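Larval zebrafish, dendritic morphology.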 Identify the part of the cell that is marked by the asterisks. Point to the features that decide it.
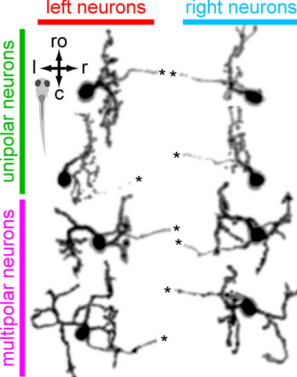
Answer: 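Axons. Each asterisk sits at the end of a single thin, unbranched process leaving the cell. The other processes are thicker and branched.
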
